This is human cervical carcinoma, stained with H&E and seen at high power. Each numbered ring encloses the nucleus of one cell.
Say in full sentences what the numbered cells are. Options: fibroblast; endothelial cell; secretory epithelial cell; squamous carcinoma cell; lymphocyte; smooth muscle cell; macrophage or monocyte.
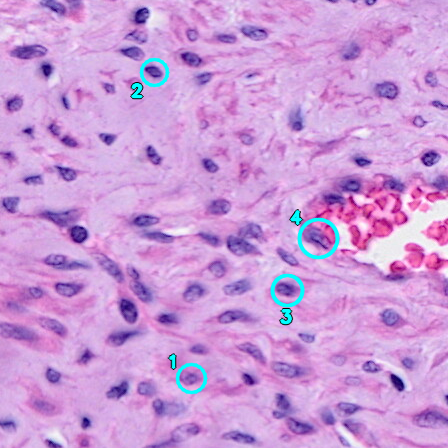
Cell 1 is a smooth muscle cell, cell 2 is a fibroblast, cell 3 is a smooth muscle cell and cell 4 is an endothelial cell.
